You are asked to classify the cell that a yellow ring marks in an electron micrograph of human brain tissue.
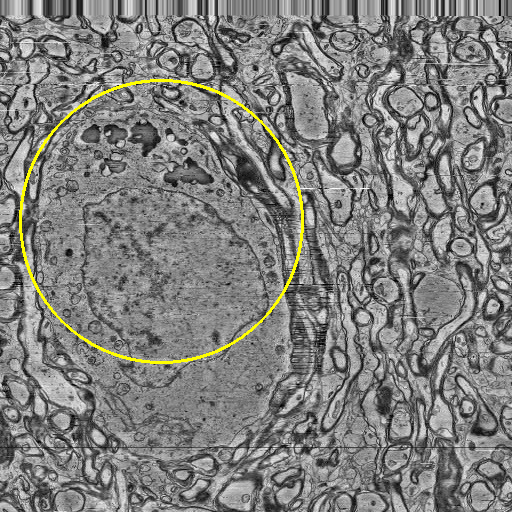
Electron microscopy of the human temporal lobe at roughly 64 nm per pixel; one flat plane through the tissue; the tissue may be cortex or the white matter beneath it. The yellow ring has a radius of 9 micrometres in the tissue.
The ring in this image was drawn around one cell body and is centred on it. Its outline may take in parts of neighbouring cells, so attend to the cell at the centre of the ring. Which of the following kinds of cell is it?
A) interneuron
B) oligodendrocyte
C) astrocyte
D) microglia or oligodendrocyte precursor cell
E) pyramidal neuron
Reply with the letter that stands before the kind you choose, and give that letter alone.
E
